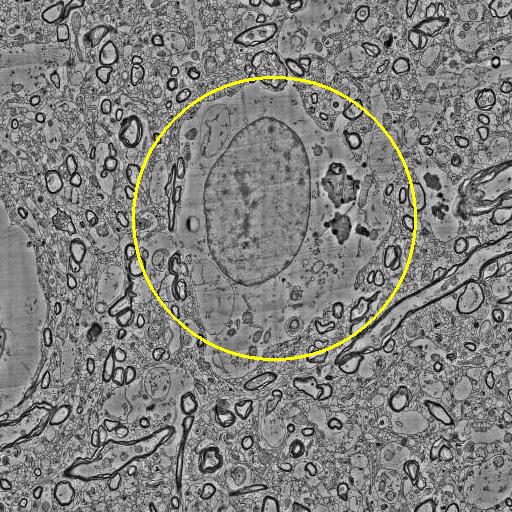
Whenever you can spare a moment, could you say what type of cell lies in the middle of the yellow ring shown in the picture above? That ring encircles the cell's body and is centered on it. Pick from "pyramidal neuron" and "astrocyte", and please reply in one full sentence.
The cell whose body sits at the middle of the yellow ring is an astrocyte.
